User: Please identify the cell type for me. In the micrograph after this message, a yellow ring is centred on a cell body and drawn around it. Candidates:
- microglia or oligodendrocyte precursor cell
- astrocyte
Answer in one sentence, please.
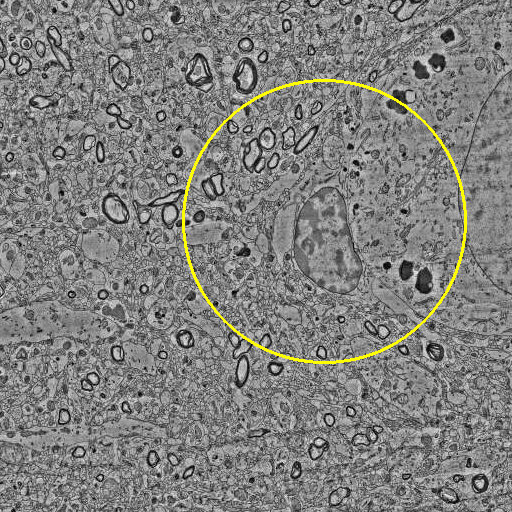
The ring is drawn around the cell body of a microglial cell or oligodendrocyte precursor cell.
